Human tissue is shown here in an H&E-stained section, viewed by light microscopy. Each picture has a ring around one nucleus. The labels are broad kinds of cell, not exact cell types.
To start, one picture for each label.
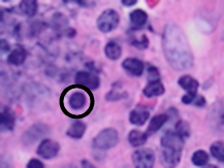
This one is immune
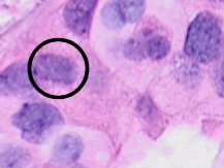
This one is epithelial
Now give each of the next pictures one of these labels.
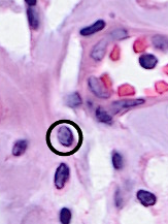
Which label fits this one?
immune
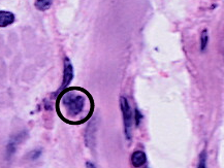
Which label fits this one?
immune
